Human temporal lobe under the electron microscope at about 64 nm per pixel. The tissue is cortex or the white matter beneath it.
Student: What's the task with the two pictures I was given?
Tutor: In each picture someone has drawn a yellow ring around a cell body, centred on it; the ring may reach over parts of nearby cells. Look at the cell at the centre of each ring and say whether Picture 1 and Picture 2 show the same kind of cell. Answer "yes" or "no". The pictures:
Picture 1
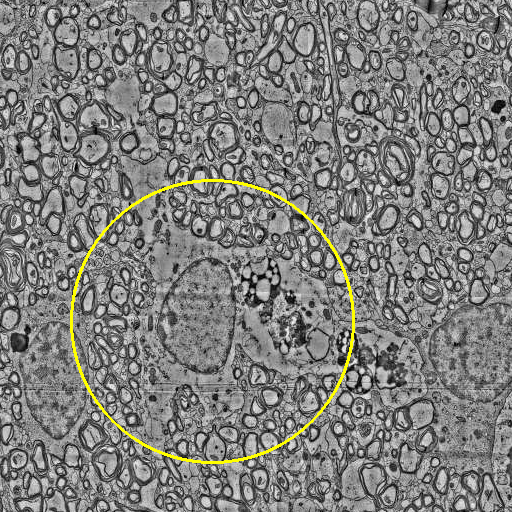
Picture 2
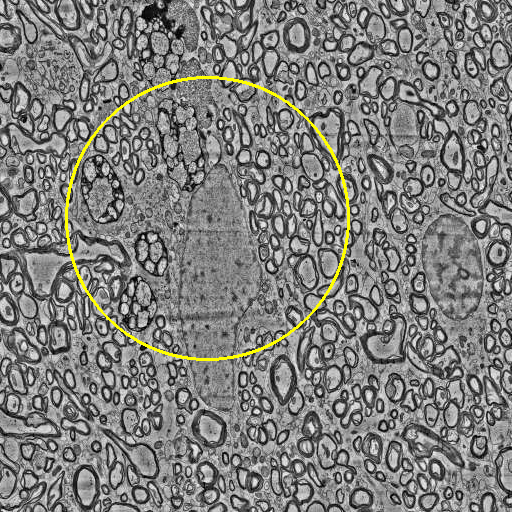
yes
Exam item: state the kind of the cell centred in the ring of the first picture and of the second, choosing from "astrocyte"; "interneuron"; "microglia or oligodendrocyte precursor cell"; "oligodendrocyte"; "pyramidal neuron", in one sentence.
Each of the two cells is an astrocyte.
